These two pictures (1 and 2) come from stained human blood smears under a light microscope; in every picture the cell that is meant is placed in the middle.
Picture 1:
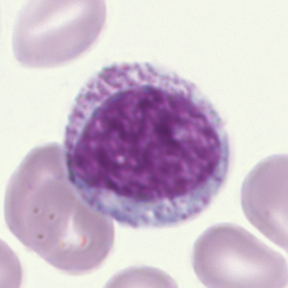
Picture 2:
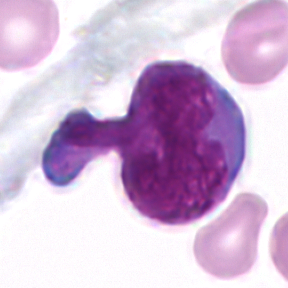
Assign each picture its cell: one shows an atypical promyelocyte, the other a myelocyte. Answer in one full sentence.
Picture 2 shows an atypical promyelocyte, while picture 1 shows a myelocyte.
